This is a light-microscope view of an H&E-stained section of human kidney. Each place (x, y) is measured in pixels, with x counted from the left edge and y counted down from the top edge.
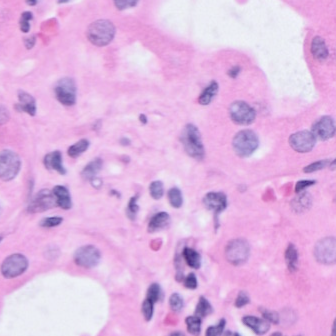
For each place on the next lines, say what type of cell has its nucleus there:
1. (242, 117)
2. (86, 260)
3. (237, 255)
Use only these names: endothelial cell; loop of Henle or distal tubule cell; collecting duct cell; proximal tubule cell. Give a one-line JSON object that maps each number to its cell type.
{"1": "loop of Henle or distal tubule cell", "2": "loop of Henle or distal tubule cell", "3": "proximal tubule cell"}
